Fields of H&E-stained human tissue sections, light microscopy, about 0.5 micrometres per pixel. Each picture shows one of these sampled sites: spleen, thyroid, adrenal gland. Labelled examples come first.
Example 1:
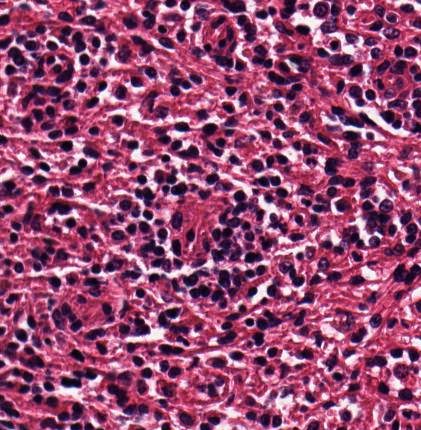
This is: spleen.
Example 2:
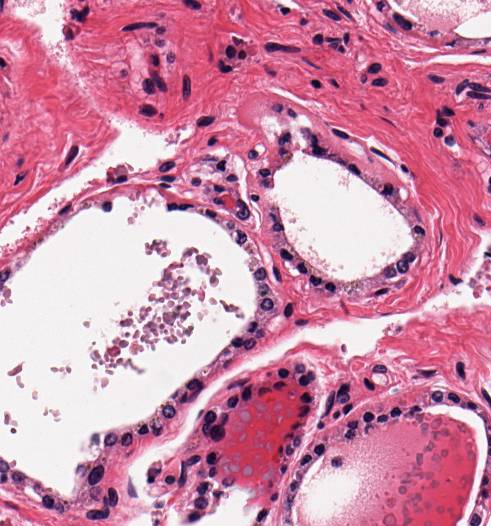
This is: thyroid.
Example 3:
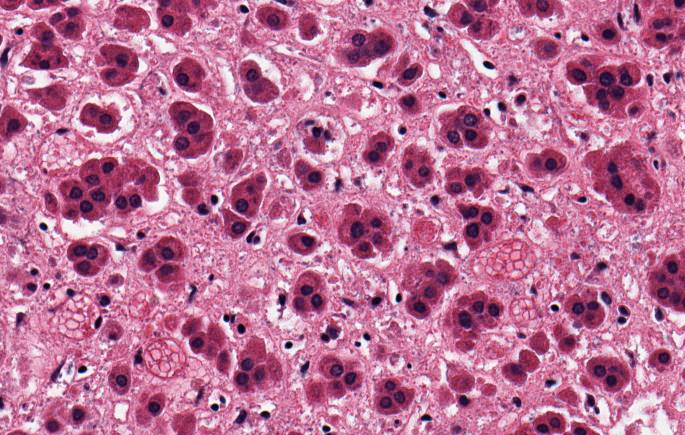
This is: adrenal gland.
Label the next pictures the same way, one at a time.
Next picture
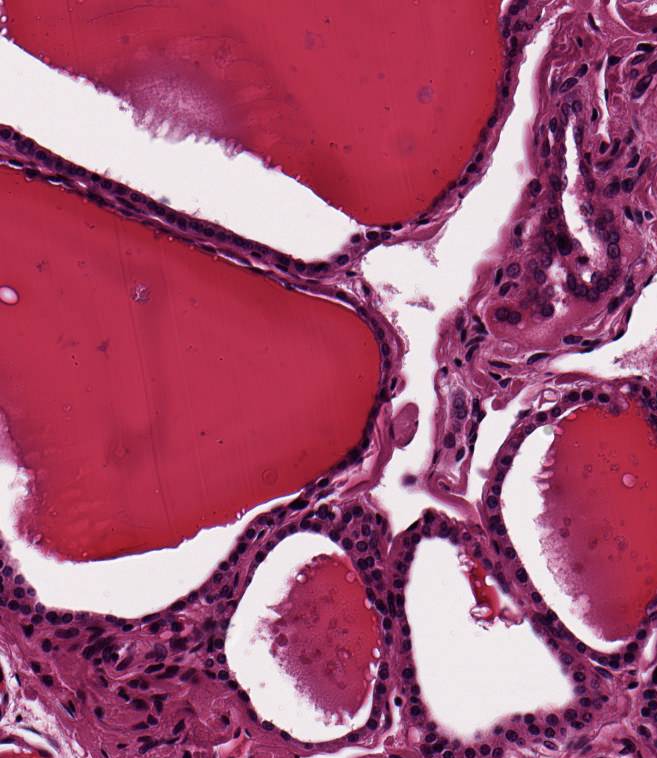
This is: thyroid.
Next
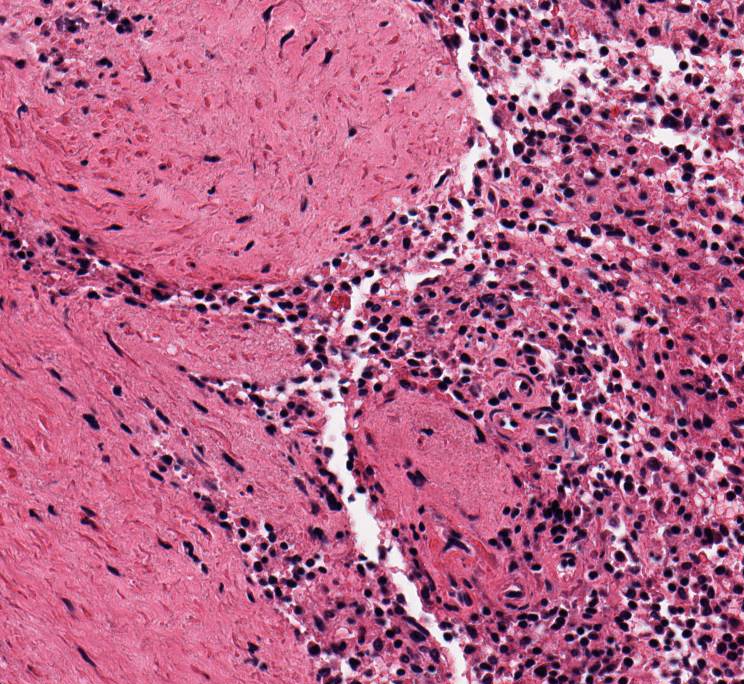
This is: spleen.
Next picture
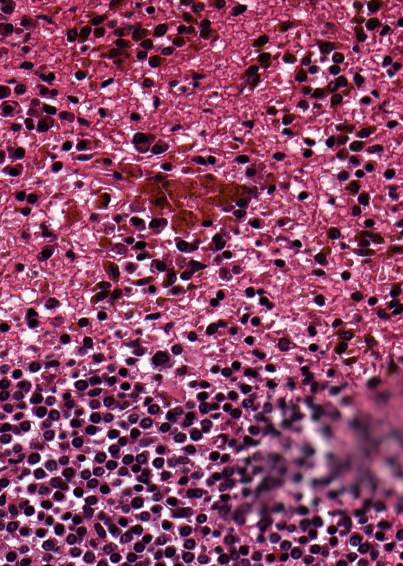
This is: spleen.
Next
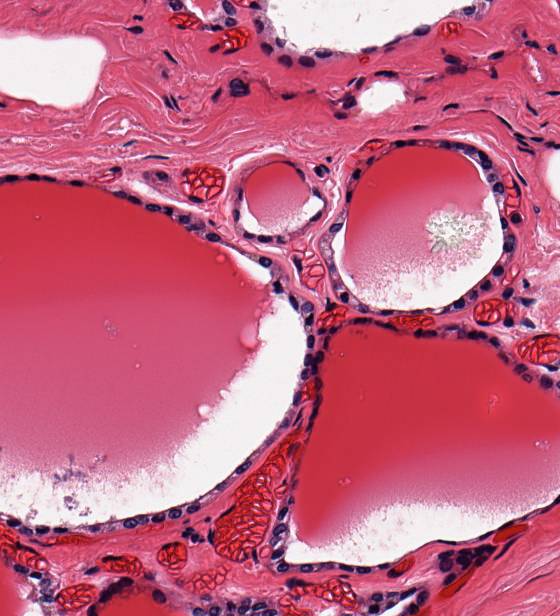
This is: thyroid.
